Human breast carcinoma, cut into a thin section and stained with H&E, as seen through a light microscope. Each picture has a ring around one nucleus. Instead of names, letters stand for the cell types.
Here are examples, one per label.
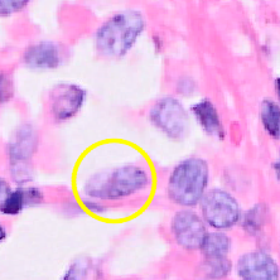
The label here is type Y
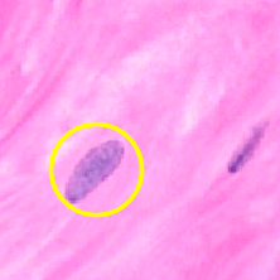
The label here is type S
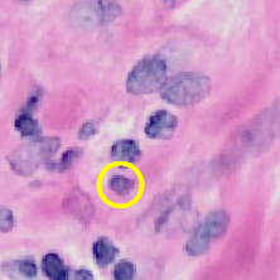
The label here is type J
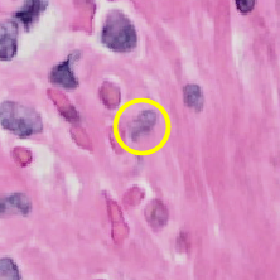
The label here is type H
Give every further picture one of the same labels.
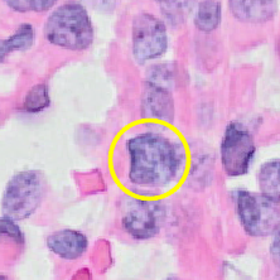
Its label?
type Y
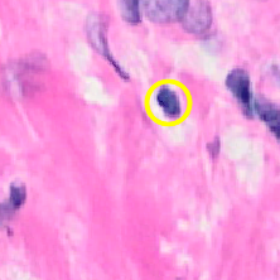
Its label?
type J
